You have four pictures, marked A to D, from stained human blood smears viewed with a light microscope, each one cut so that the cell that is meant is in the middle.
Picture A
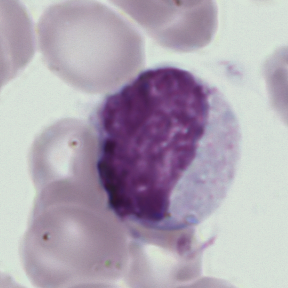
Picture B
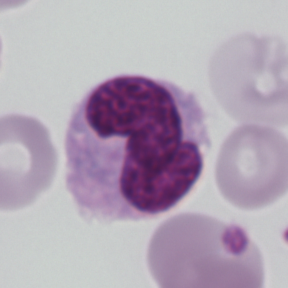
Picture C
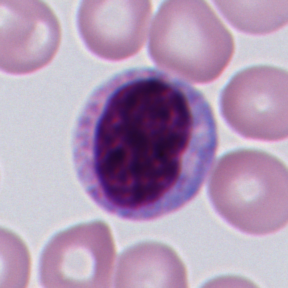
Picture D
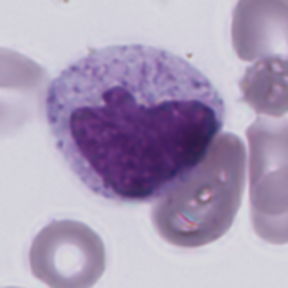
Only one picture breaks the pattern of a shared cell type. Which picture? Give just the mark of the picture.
B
